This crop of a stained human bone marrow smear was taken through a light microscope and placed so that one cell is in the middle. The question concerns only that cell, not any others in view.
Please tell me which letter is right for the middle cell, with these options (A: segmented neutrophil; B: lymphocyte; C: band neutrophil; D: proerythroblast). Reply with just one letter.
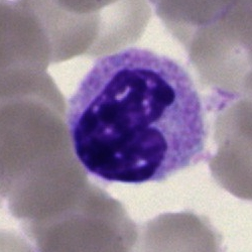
C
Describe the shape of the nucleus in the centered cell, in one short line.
The nuclear material is gathered into one compact round, oval or kidney-shaped mass.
